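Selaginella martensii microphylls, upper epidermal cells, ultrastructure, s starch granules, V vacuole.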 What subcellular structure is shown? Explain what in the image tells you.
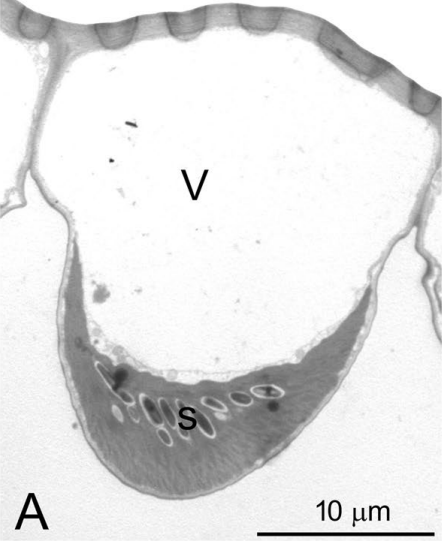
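A large dark crescent-shaped organelle fills the bottom of the cell. Its concave upper face borders a large clear vacuole. It contains a row of pale oval granules.
Hence: cup-shaped chloroplast.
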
